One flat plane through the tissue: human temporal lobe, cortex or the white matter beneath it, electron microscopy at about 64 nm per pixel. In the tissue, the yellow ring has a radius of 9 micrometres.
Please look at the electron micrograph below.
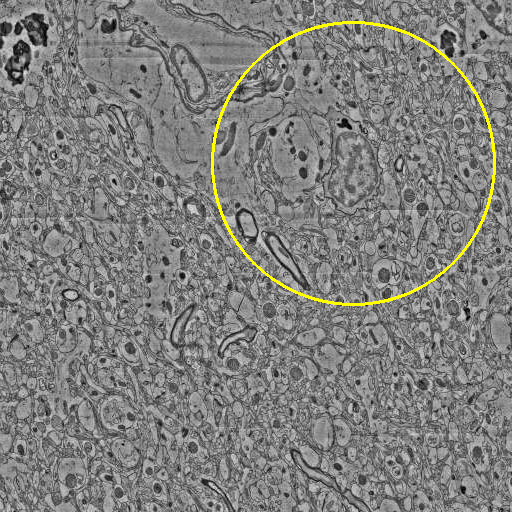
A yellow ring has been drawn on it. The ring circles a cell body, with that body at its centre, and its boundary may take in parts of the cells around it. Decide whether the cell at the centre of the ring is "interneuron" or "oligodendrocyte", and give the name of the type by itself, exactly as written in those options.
oligodendrocyte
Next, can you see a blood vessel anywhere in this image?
Yes, a vessel shows somewhere in the image.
